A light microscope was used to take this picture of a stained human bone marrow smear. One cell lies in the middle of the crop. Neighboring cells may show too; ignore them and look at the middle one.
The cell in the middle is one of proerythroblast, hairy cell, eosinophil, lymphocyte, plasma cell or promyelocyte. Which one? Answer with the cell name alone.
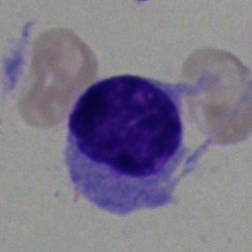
hairy cell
